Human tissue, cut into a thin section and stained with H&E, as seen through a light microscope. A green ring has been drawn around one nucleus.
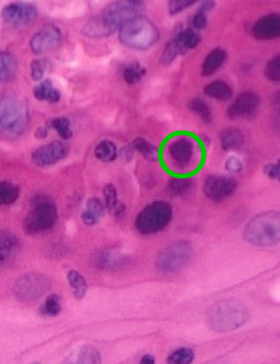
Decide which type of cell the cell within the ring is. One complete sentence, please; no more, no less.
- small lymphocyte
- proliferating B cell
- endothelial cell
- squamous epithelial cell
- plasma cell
As a matter of cell type, the cell within the ring is a squamous epithelial cell.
